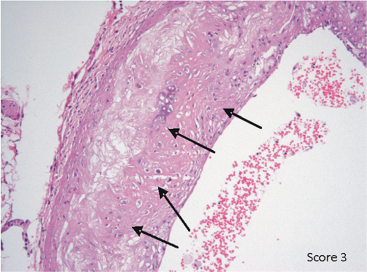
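Thick plaque bulging into a vessel lumen that holds many red blood cells. The plaque core is pale and loosely textured, with scattered rounded cells lying in clear spaces and areas poor in nuclei. Toward the lumen a denser pink layer with flattened purple nuclei covers the core.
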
